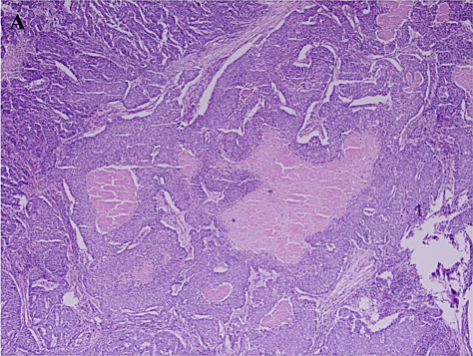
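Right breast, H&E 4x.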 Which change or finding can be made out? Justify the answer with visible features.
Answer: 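Necrosis. Large pale pink, amorphous areas without intact nuclei lie in the middle of the tissue. These pink areas are surrounded by densely cellular purple tumour tissue.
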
